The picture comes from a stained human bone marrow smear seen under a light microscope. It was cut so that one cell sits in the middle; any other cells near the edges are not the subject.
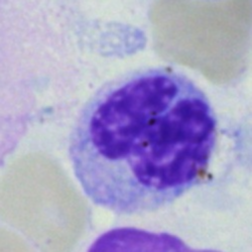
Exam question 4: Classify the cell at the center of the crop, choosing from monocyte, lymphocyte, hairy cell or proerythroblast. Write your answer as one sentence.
The cell nearest the centre of this crop is a monocyte.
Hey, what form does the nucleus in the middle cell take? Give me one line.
In this cell the nucleus is a solitary compact mass, round, oval or kidney-shaped.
